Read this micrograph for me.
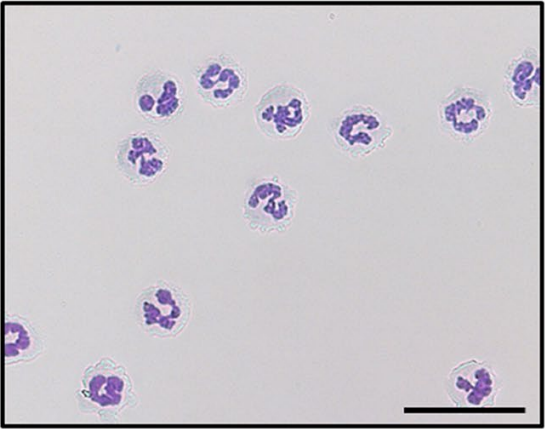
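The nuclei sit within a round, pale, faintly granular cytoplasm, and the cells are of fairly uniform size. No red blood cells are seen in the background.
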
